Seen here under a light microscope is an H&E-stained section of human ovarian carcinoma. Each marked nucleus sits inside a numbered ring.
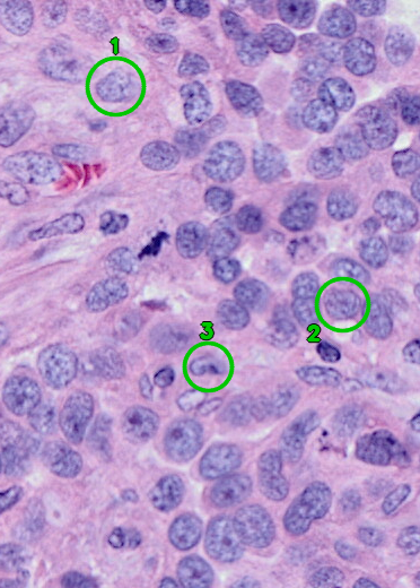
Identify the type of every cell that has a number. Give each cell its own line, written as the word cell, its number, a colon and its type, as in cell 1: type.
cell 1: fibroblast
cell 2: carcinoma cell
cell 3: fibroblast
